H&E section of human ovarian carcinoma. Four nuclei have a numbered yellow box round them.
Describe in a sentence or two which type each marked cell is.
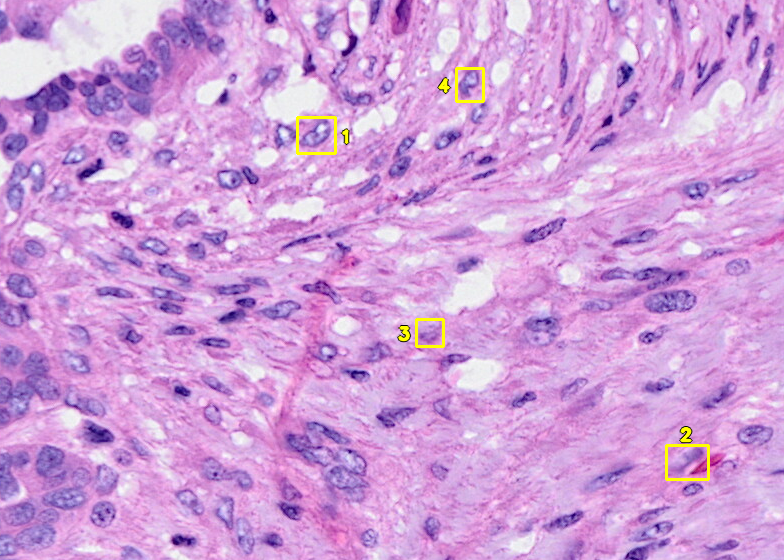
Cells 1, 3 and 4 are fibroblasts. Cell 2 is an endothelial cell.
